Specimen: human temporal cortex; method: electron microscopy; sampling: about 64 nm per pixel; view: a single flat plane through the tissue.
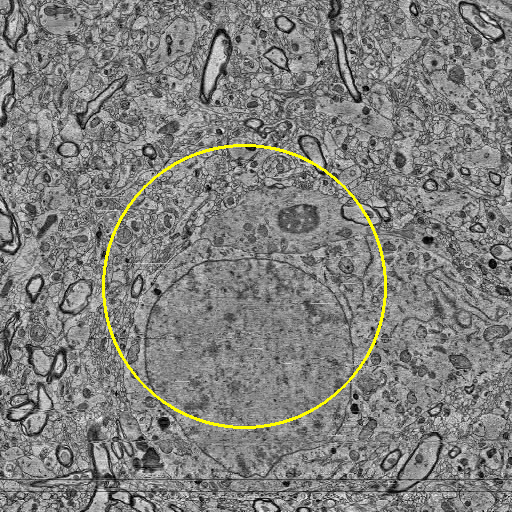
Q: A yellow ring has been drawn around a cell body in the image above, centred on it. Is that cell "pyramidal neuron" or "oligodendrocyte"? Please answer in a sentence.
The ring surrounds the cell body of a pyramidal neuron.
